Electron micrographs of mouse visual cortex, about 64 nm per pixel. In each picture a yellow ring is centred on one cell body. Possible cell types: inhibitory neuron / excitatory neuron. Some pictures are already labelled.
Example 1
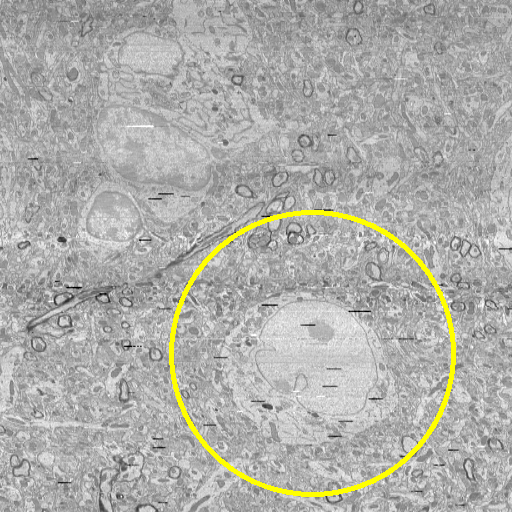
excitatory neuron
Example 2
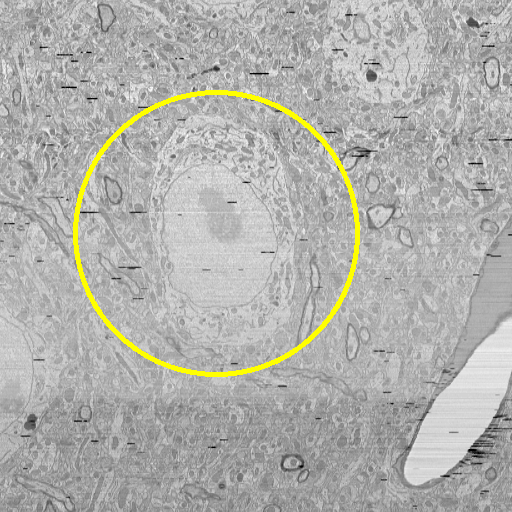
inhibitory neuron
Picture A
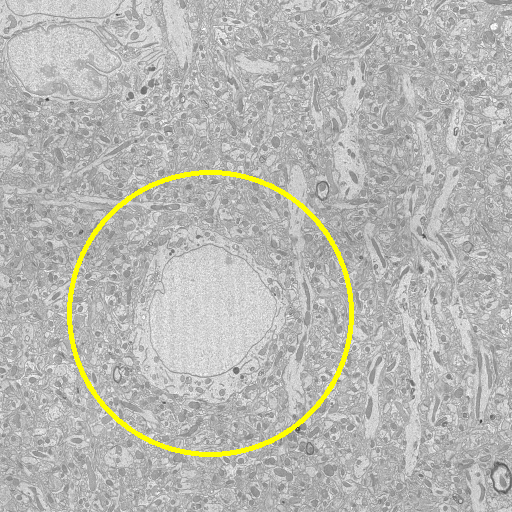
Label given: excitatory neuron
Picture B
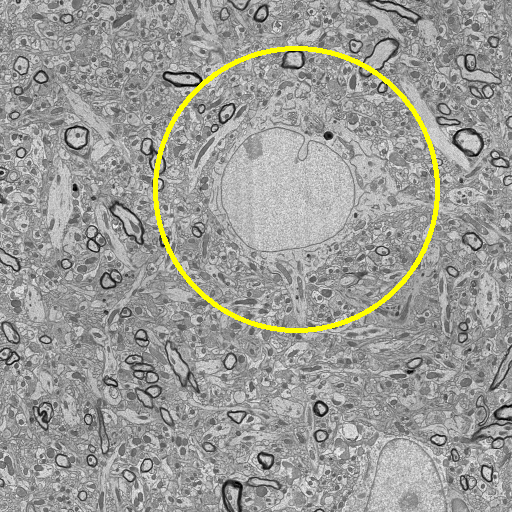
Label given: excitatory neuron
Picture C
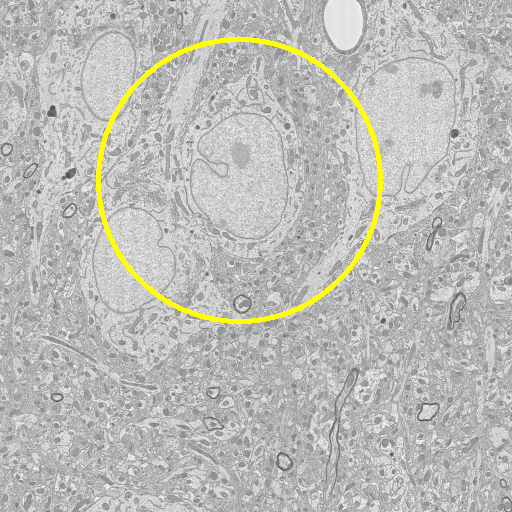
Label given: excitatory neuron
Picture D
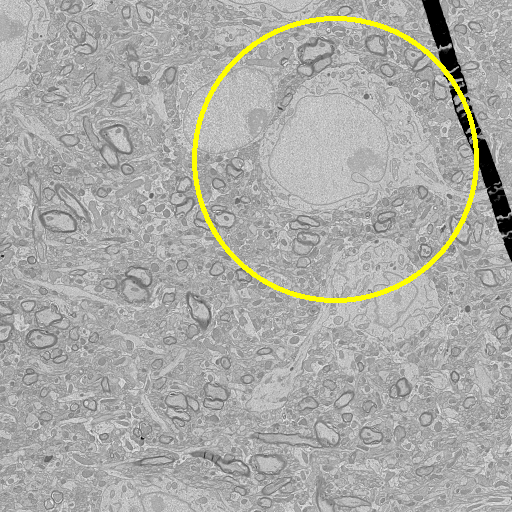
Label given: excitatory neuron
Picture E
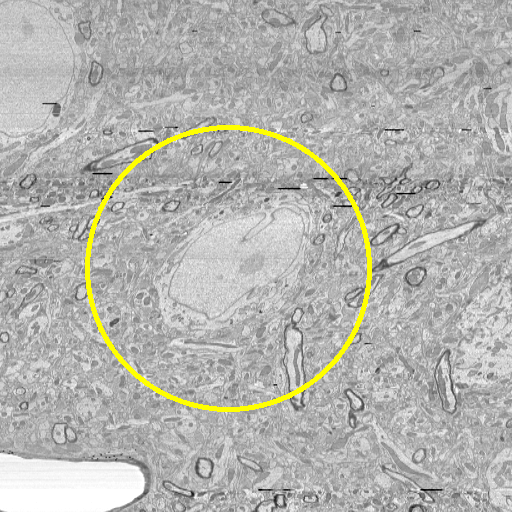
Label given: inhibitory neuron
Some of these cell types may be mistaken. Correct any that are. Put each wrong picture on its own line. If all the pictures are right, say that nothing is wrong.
C: inhibitory neuron, not excitatory neuron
